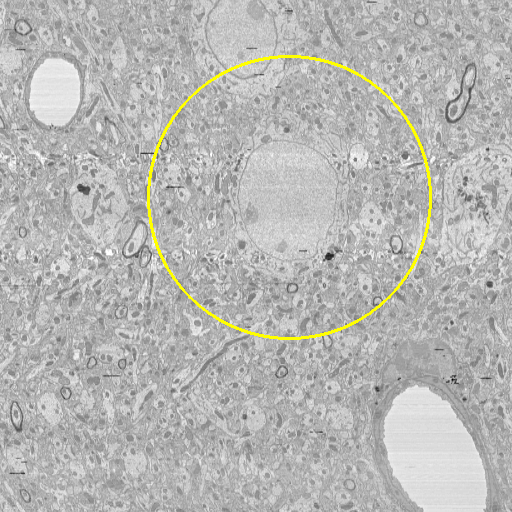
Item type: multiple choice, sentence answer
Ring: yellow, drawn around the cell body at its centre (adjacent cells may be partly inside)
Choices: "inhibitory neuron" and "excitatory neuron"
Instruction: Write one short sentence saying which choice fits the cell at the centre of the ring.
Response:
This ring is drawn around an excitatory neuron.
